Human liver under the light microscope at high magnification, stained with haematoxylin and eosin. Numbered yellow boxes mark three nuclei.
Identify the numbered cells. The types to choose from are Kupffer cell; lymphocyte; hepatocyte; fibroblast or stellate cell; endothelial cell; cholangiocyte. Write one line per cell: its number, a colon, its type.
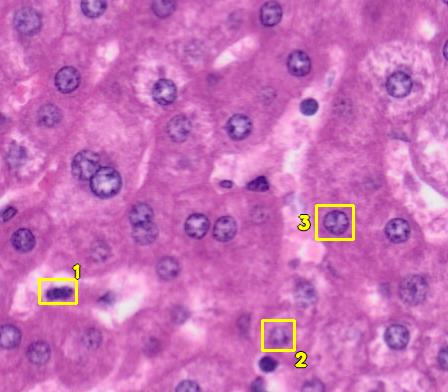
1: lymphocyte
2: hepatocyte
3: hepatocyte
